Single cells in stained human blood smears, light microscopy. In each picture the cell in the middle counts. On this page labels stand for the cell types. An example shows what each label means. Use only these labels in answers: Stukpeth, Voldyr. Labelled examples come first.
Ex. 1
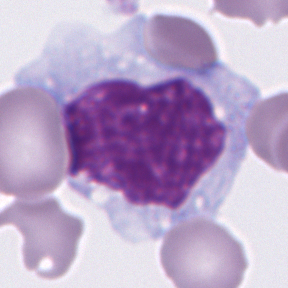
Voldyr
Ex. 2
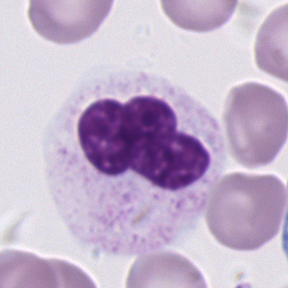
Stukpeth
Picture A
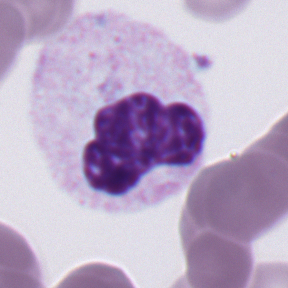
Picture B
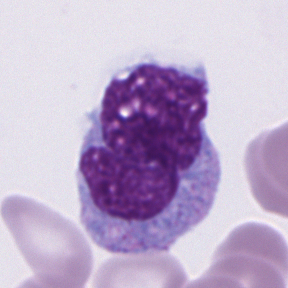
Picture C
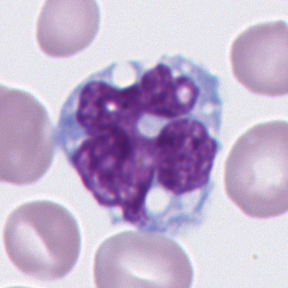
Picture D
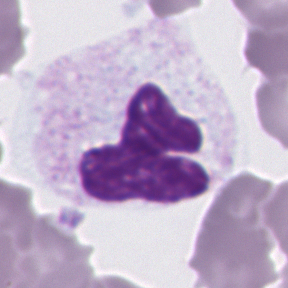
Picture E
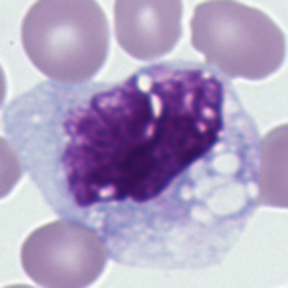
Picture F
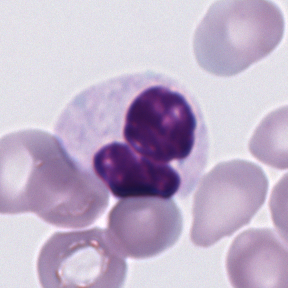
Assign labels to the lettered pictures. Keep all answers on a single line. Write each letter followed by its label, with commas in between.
A Stukpeth, B Voldyr, C Voldyr, D Stukpeth, E Voldyr, F Stukpeth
